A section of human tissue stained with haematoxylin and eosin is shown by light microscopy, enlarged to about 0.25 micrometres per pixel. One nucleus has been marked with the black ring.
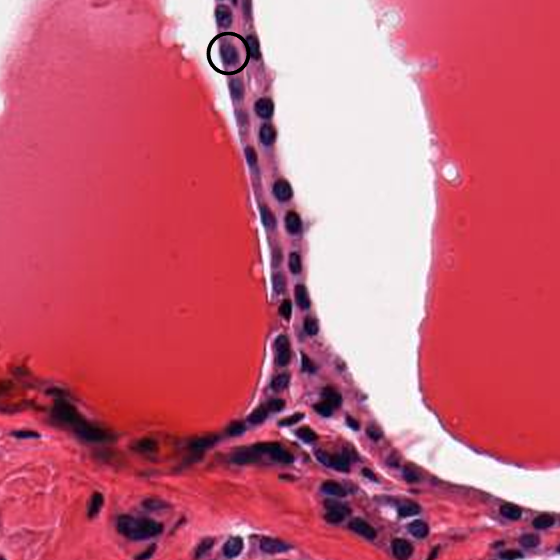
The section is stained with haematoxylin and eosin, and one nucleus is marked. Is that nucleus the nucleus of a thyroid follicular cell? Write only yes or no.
yes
